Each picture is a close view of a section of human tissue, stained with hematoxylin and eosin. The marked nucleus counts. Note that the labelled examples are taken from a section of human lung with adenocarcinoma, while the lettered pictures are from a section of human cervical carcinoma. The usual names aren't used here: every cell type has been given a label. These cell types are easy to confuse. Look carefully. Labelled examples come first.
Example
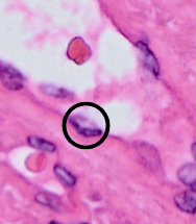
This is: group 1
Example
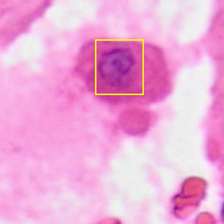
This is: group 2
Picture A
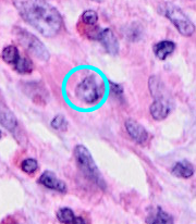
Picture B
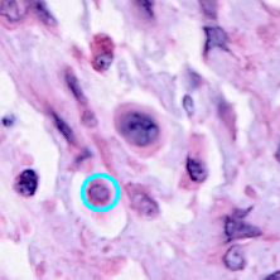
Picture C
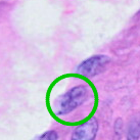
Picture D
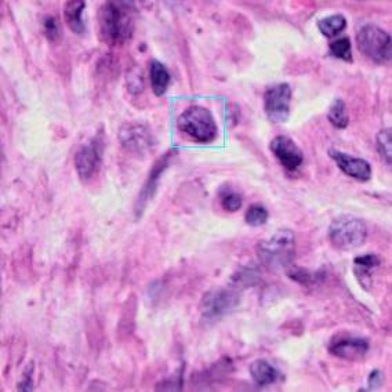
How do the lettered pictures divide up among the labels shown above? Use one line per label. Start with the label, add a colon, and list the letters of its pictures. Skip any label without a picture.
group 1: C
group 2: A, B, D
